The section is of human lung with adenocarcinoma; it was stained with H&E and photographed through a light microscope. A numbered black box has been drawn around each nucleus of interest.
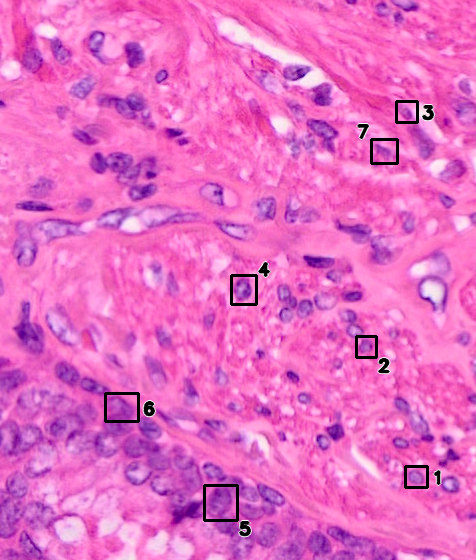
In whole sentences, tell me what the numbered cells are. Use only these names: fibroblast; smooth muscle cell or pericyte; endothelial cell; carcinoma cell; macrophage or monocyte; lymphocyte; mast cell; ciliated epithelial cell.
Cell 1 is a smooth muscle cell or pericyte, cell 2 is a smooth muscle cell or pericyte, cell 3 is a smooth muscle cell or pericyte, cell 4 is a mast cell, cell 5 is a ciliated epithelial cell, cell 6 is a ciliated epithelial cell and cell 7 is a smooth muscle cell or pericyte.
